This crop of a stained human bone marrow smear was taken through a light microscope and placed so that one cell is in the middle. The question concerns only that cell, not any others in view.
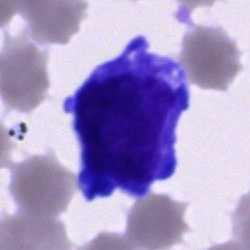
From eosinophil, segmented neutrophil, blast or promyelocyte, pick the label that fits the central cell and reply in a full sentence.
The cell shown in the center of this light-microscope crop is a blast.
